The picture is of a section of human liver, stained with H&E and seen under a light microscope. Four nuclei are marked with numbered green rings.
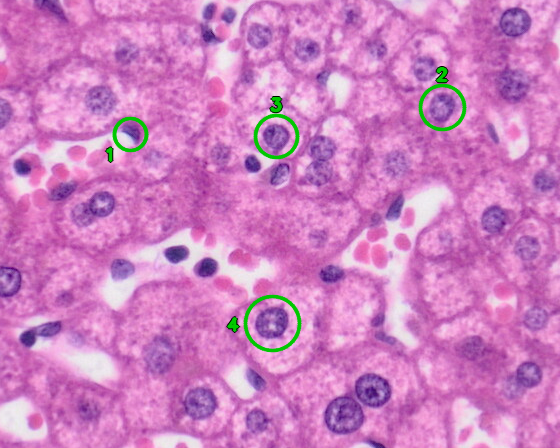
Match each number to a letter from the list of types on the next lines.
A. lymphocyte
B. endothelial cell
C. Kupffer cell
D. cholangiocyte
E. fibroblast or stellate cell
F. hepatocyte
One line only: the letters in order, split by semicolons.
B; F; F; F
